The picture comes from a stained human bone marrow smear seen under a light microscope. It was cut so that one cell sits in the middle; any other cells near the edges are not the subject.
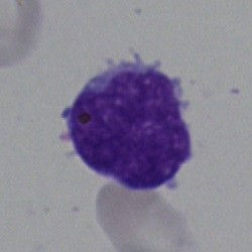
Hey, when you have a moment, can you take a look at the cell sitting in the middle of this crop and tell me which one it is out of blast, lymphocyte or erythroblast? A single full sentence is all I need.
Of the cells in this crop, the central one is a blast.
